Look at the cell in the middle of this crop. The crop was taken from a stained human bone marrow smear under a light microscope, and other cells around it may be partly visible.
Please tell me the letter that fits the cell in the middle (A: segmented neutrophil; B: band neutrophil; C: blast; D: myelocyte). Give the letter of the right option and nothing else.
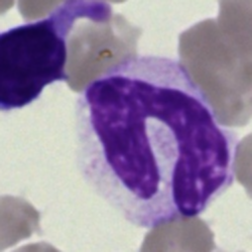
B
